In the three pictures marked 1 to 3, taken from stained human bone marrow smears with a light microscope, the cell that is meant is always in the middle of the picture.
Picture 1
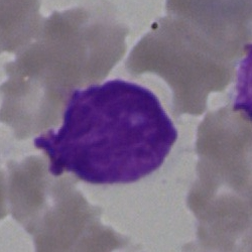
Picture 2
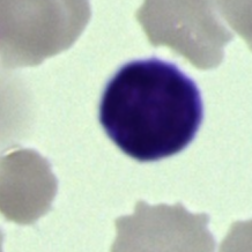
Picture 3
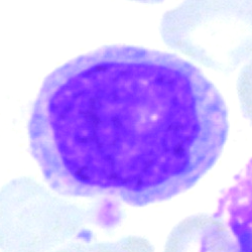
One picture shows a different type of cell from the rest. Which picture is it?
3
